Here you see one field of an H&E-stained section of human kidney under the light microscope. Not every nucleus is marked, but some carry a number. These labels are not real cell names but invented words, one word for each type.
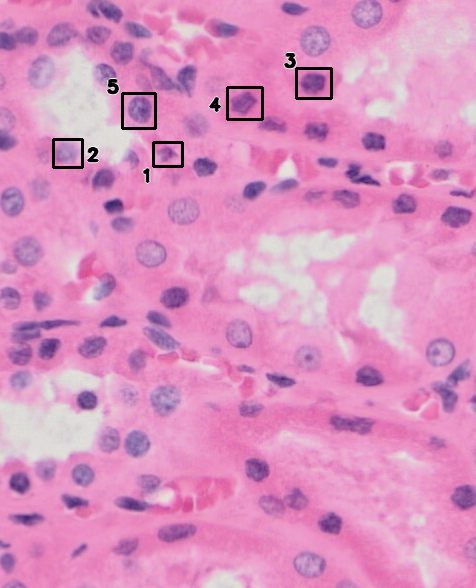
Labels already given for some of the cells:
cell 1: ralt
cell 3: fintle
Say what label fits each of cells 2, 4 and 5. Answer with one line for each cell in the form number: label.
2: ralt
4: fintle
5: ralt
